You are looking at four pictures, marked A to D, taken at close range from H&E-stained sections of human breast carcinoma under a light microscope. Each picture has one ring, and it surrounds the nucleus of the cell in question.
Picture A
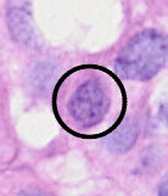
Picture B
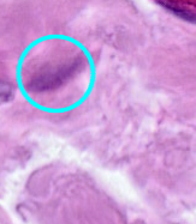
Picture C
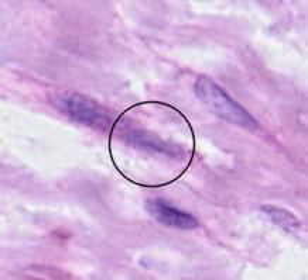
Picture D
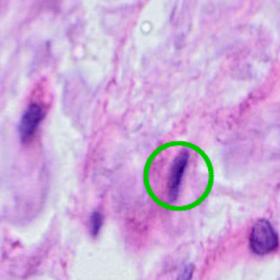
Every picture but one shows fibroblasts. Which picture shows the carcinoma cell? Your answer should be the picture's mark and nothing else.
A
